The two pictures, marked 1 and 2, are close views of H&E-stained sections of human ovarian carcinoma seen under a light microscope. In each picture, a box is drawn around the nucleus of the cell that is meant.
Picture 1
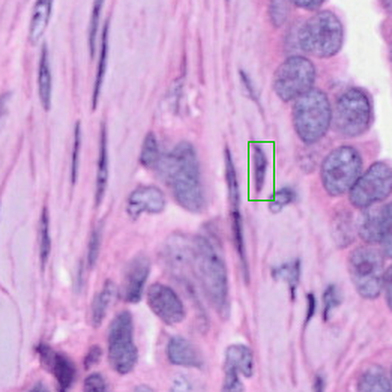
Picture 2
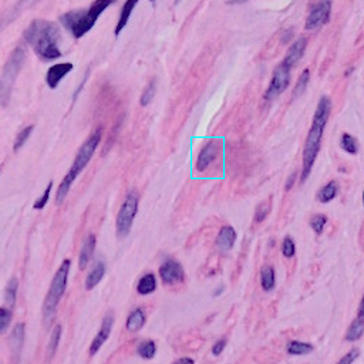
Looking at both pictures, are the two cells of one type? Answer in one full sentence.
No, the types are not the same, since picture 1 shows a fibroblast and picture 2 a smooth muscle cell.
